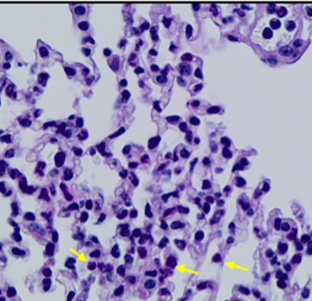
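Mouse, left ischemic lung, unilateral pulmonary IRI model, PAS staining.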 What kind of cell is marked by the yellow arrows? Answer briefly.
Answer: Neutrophils.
